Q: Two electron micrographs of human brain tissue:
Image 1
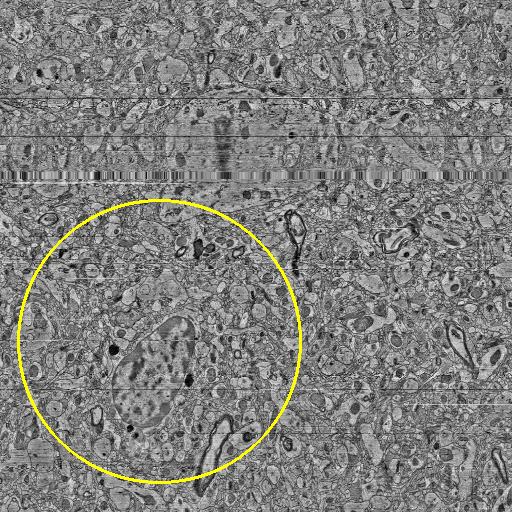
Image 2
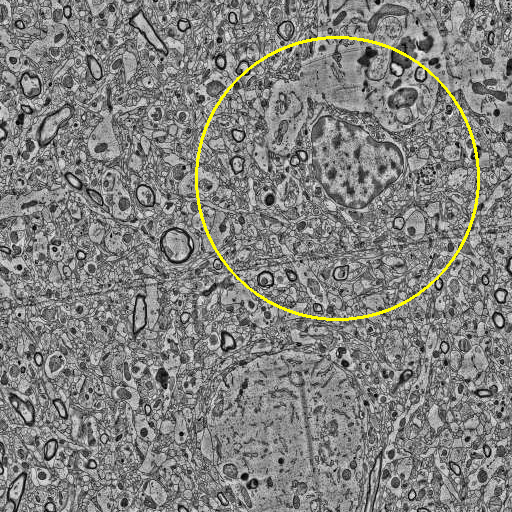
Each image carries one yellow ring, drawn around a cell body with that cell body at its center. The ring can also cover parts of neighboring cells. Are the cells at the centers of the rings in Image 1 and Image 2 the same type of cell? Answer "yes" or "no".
yes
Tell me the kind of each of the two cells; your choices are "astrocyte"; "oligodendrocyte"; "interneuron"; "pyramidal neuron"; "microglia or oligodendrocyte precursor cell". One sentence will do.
The second cell is a microglial cell or oligodendrocyte precursor cell, just as the first is.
